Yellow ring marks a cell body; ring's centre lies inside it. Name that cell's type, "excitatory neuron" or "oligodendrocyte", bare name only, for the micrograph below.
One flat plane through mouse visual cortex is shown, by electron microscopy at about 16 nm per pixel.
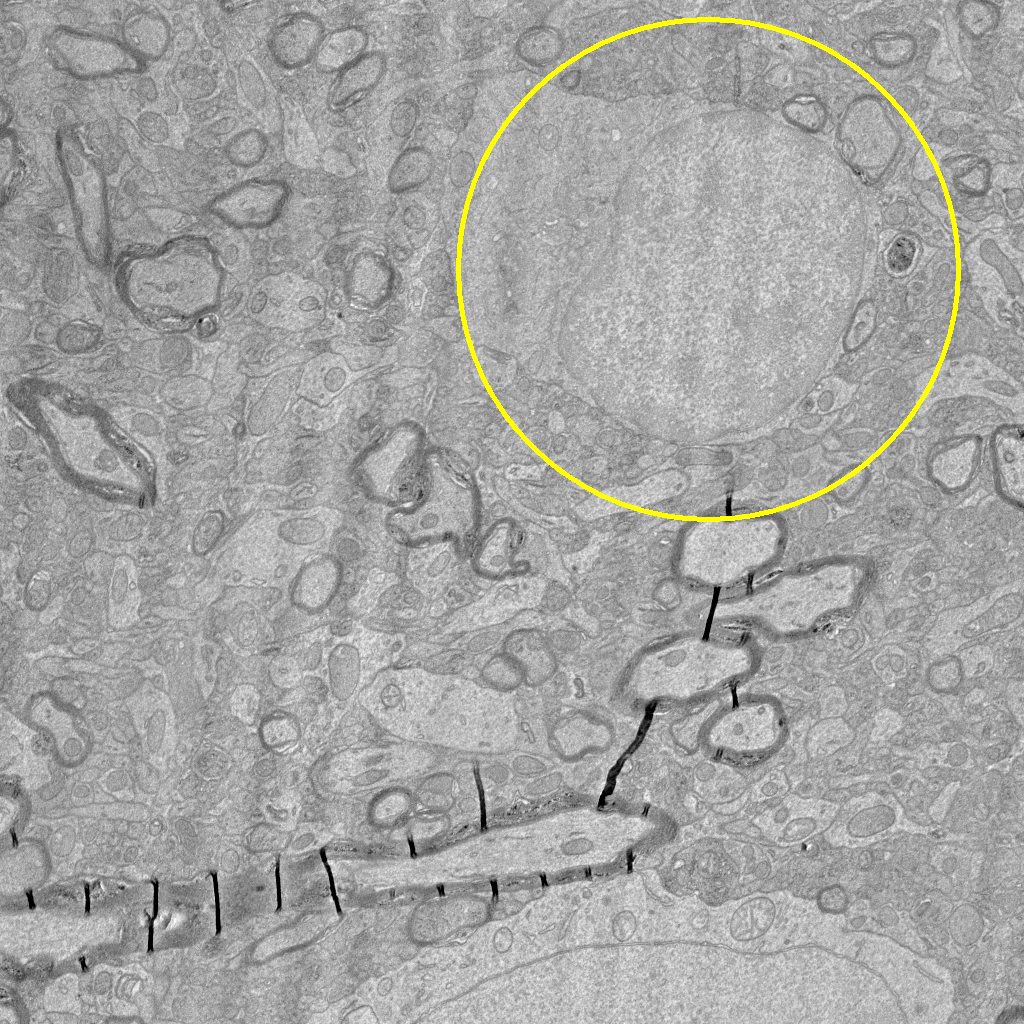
oligodendrocyte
